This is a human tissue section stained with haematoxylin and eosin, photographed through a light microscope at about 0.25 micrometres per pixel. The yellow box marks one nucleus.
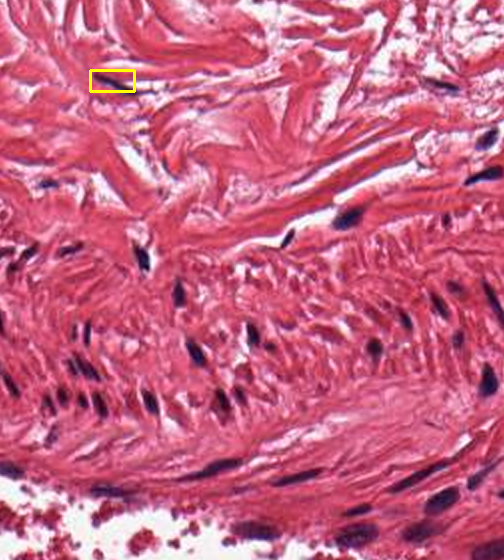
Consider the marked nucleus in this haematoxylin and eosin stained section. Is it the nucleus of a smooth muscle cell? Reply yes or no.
no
